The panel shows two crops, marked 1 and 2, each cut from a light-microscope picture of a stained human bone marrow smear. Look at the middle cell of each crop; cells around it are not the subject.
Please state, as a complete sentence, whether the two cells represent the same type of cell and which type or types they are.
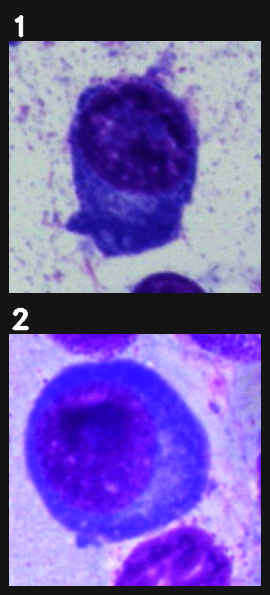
Yes, the cells found in the middle of both crops are plasma cells.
